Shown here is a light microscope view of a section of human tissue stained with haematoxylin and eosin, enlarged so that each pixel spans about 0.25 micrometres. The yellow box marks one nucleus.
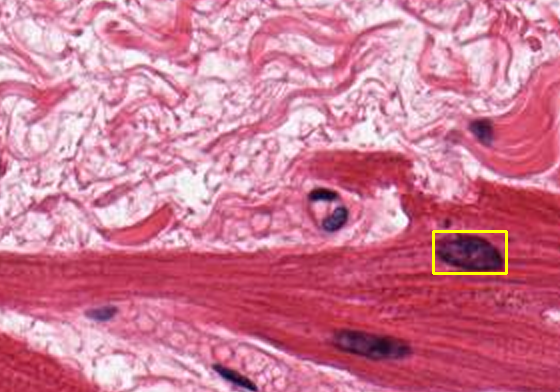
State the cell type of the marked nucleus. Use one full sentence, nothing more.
As shown here, the nucleus that is marked is that of a cardiomyocyte.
